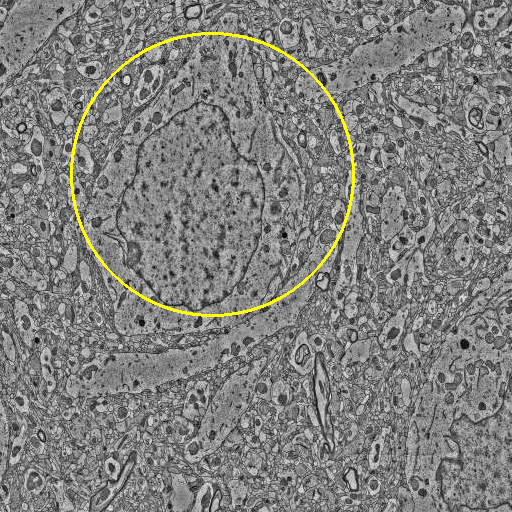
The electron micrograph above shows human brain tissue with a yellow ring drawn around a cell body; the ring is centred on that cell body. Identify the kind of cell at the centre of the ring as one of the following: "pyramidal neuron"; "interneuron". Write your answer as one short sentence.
The cell at the centre of the ring is a pyramidal neuron.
